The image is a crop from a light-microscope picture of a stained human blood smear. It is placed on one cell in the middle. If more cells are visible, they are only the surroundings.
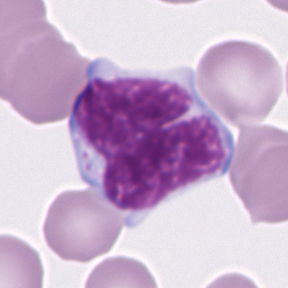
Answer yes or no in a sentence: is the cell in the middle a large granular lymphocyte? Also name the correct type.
Yes, the cell at the middle is a large granular lymphocyte.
